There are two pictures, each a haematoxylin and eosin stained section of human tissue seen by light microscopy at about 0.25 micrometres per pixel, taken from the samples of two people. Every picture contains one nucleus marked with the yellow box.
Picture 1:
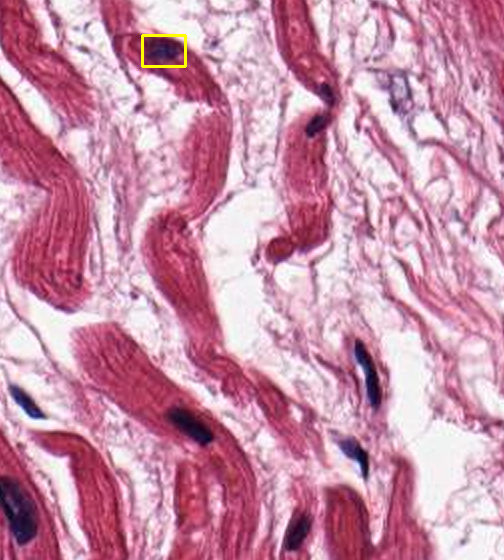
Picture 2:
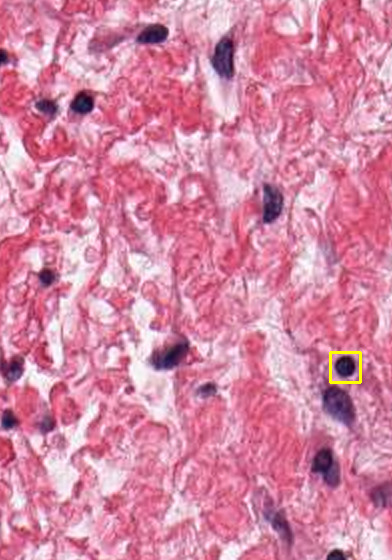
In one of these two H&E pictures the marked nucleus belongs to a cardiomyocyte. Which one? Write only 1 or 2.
1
